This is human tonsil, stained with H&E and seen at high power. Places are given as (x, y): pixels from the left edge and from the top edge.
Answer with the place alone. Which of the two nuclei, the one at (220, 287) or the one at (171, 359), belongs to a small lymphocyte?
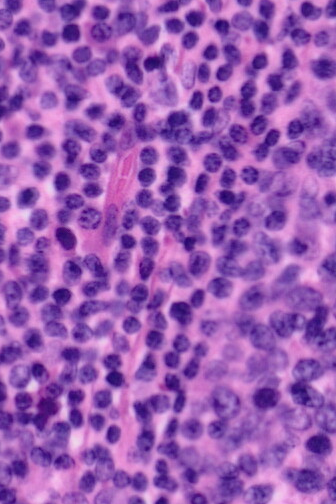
(171, 359)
